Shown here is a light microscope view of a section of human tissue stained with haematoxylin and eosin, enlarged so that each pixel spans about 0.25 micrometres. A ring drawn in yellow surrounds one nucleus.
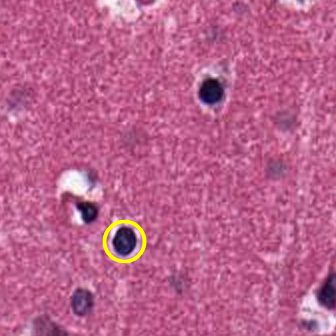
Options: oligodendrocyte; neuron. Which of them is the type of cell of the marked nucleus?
oligodendrocyte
